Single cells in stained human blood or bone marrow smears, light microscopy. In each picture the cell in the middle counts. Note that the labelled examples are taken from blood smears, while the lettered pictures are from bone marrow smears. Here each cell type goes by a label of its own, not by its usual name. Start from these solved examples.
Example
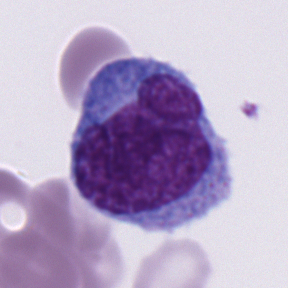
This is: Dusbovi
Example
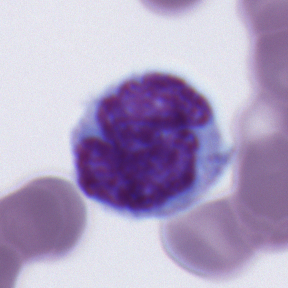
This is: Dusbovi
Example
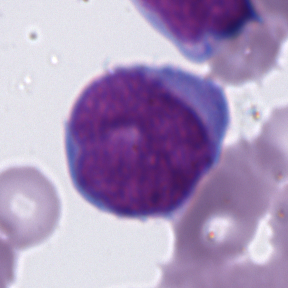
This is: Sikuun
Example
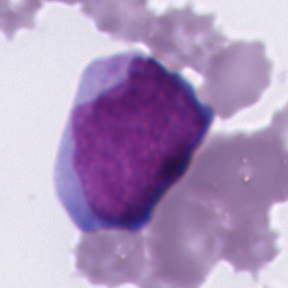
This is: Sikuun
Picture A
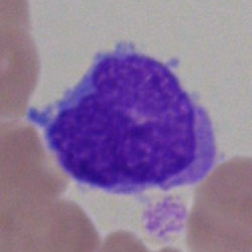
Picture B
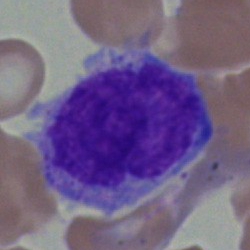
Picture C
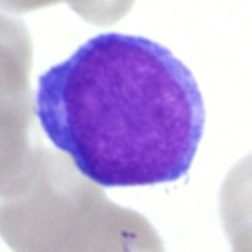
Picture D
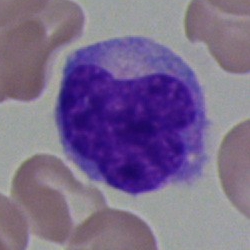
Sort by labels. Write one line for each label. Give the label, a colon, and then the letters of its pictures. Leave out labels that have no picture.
Dusbovi: A, B, D
Sikuun: C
